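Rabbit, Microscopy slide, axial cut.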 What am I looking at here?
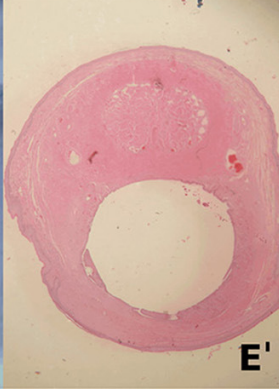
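Cross-section of penis with a central spongy vascular body in the upper half and a large round urethral lumen below it. Small blood vessels are scattered in the surrounding tissue.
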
